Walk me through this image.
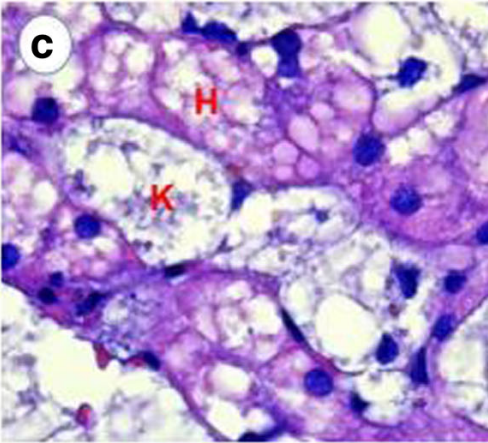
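This is liver at high magnification, with hepatocytes and Kupffer cells both showing cytoplasmic vacuolization. The hepatocytes have pink-purple cytoplasm crowded with small round clear vacuoles and dark round nuclei. Between them lie swollen cells whose cytoplasm is filled almost entirely with pale, bubbly, foamy material.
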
